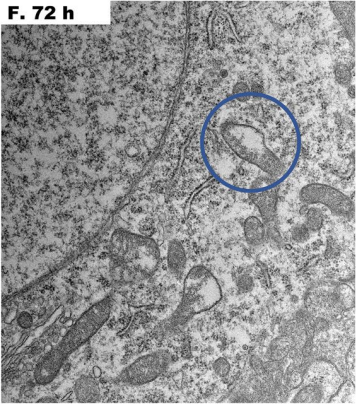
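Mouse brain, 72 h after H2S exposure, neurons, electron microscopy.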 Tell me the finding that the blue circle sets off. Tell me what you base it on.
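The circled mitochondrion has a pale interior lacking regular inner folds.
Hence: cristae disruption.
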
